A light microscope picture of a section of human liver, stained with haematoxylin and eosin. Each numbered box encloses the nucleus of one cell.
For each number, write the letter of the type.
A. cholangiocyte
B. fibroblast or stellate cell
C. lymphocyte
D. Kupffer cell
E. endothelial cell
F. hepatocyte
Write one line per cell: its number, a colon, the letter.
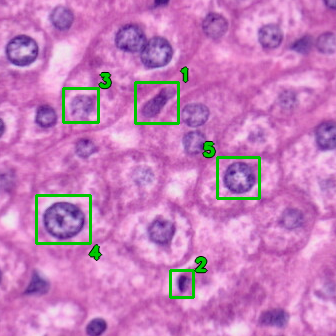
1: D
2: D
3: F
4: F
5: F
